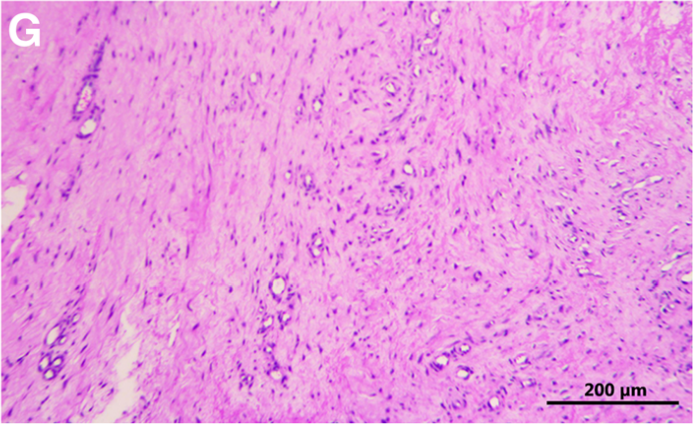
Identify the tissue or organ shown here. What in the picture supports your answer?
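Dense fibrous tissue. Pink fibrillar extracellular matrix fills most of the field. Scattered elongated, spindle-shaped purple nuclei lie between the fibres. Fibres run in wavy, roughly parallel bundles.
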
